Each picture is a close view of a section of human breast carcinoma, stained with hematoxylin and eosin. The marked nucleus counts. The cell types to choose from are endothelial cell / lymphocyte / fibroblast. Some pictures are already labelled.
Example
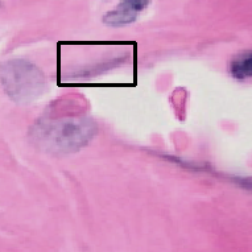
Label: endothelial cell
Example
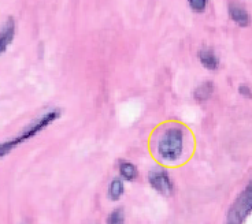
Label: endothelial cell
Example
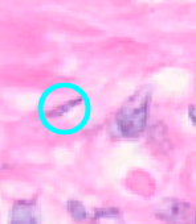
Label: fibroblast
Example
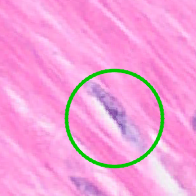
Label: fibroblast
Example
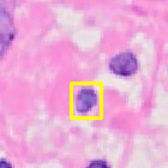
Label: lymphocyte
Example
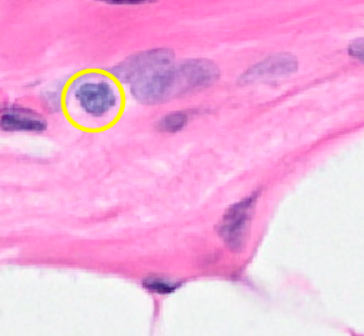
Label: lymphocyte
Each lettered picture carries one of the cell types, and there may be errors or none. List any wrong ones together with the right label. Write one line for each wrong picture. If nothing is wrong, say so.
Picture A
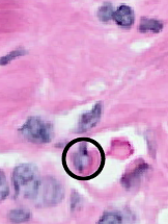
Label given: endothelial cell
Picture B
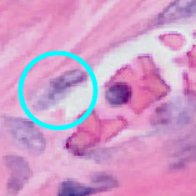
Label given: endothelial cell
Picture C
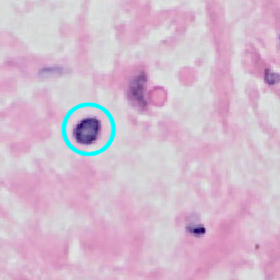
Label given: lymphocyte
Nothing to fix; every label fits.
